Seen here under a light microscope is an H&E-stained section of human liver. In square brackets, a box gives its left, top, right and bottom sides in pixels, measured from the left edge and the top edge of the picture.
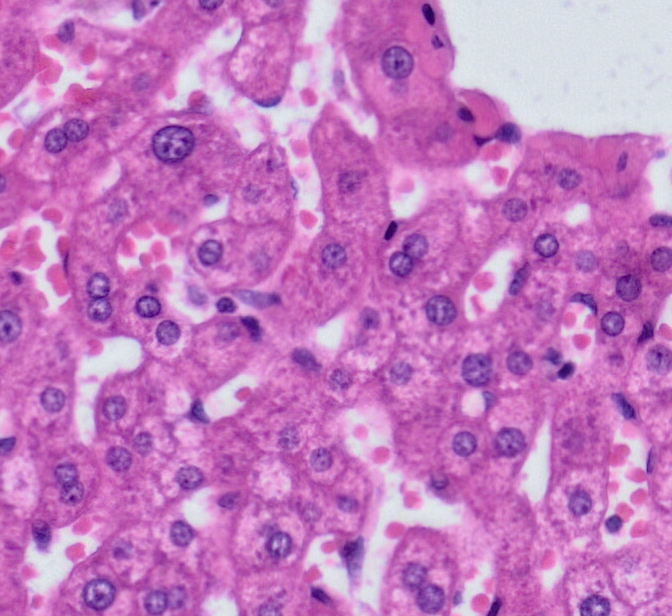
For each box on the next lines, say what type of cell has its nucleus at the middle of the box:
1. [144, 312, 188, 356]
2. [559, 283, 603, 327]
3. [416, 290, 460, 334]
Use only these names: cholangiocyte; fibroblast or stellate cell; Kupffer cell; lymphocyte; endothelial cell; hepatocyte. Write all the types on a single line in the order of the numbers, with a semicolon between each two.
hepatocyte; endothelial cell; hepatocyte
